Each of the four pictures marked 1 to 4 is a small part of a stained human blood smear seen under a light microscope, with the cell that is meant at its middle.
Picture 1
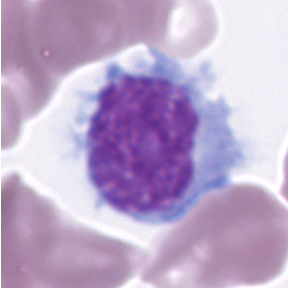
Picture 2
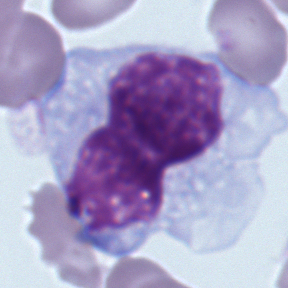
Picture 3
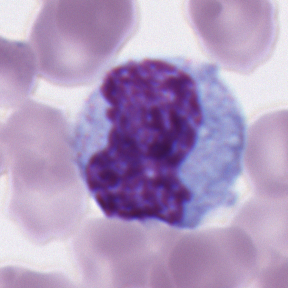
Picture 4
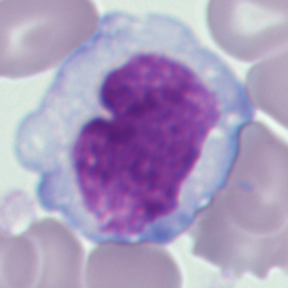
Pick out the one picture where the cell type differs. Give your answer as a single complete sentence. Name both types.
Picture 1 is the odd one out: it shows a hairy cell, while the others show monocytes.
